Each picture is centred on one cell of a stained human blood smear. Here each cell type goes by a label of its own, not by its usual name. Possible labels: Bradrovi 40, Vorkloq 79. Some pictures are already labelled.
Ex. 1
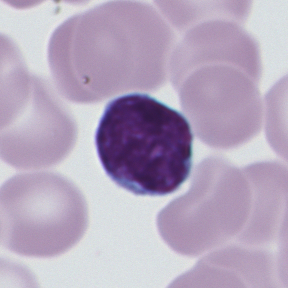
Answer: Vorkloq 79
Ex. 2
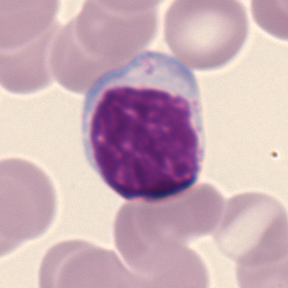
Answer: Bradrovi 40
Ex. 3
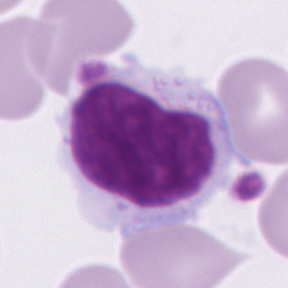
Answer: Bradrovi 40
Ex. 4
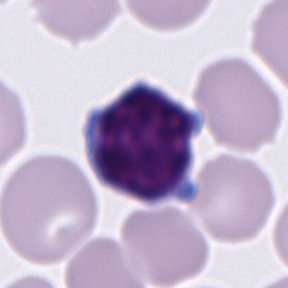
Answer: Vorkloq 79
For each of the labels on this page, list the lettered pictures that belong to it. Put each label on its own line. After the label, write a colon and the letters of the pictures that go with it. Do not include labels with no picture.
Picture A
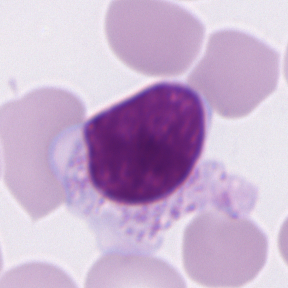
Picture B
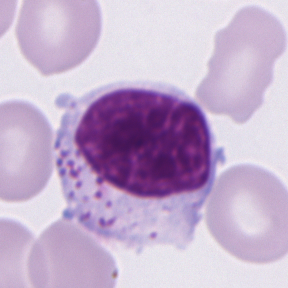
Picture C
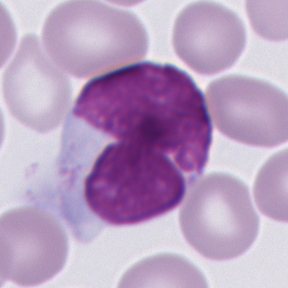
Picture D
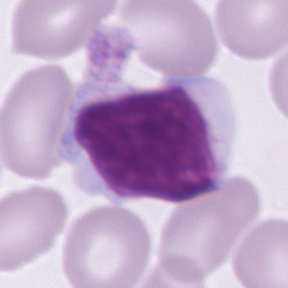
Bradrovi 40: A, B, C, D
